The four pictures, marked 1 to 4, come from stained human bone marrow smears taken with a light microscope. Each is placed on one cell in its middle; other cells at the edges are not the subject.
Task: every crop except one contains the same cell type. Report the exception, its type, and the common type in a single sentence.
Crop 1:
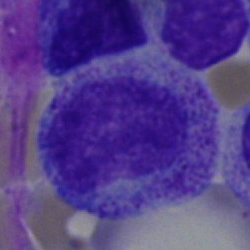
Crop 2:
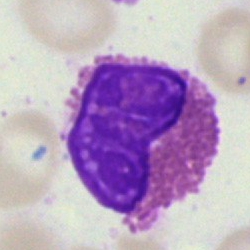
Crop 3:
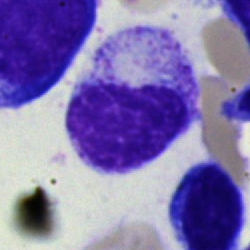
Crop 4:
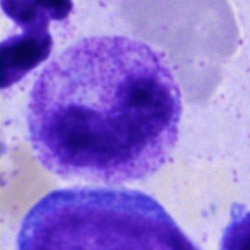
The different one is crop 2, which is an eosinophil; the rest all show metamyelocytes.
